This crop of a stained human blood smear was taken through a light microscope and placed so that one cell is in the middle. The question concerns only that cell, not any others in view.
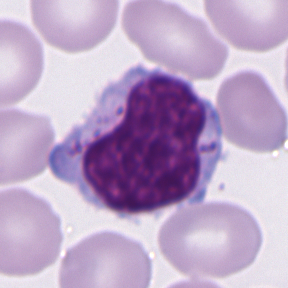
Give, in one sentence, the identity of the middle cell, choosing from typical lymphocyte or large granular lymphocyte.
For this crop, the cell in the middle is a large granular lymphocyte.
